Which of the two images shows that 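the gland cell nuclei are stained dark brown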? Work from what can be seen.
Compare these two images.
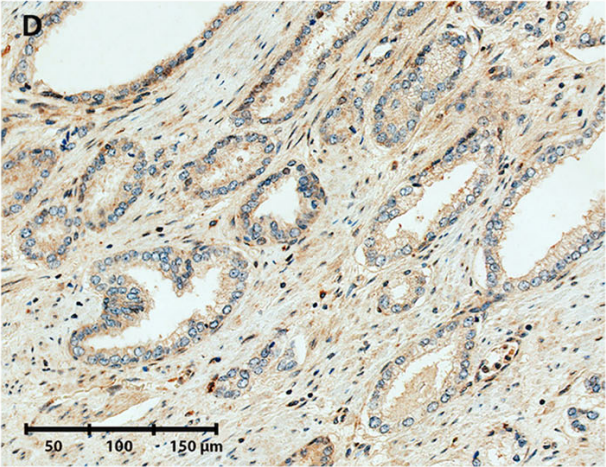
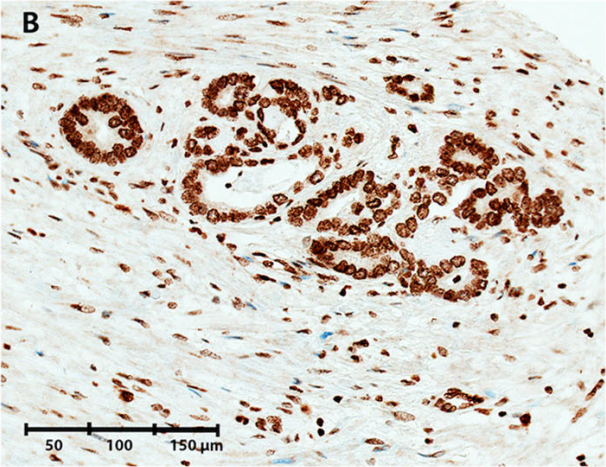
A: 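First image: the gland cell nuclei are blue with a pale brown background. Second image: nearly all gland cell nuclei are solid dark brown. That points to this answer: the second image.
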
